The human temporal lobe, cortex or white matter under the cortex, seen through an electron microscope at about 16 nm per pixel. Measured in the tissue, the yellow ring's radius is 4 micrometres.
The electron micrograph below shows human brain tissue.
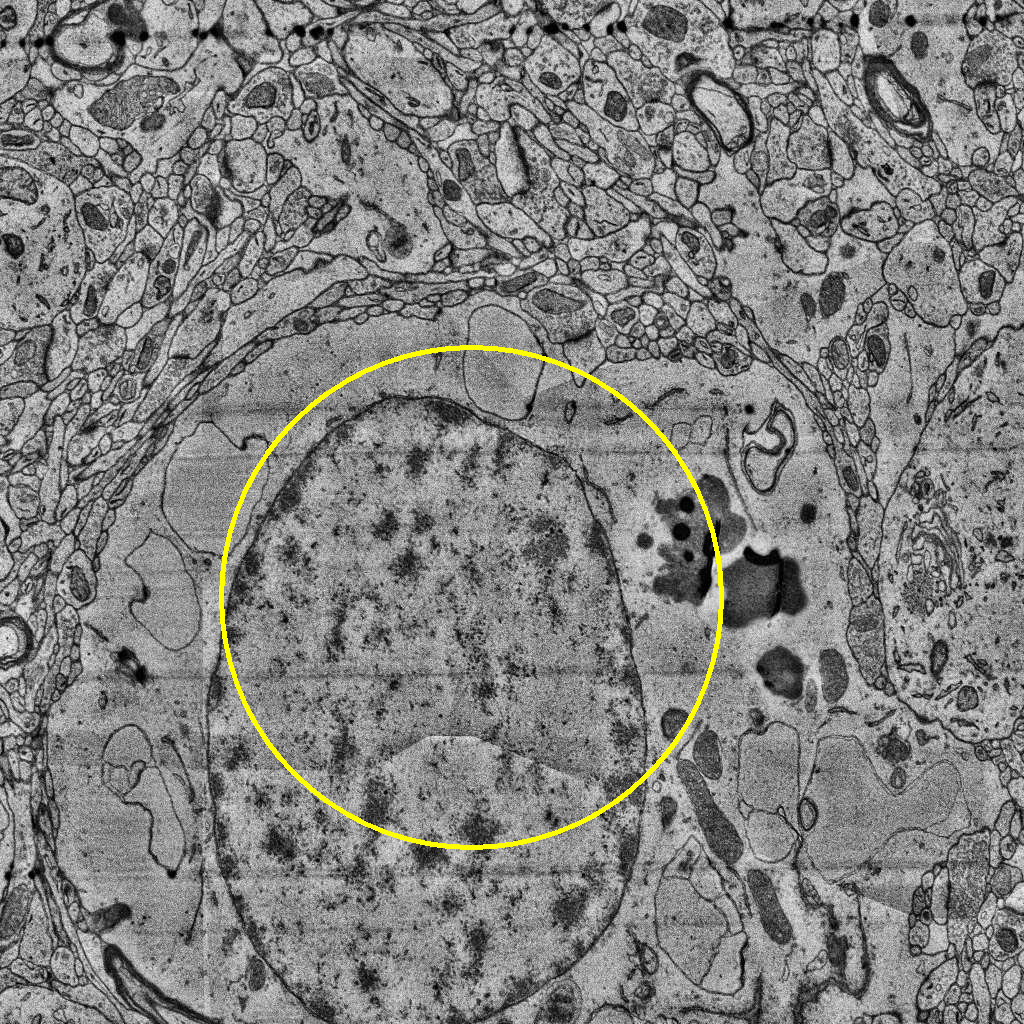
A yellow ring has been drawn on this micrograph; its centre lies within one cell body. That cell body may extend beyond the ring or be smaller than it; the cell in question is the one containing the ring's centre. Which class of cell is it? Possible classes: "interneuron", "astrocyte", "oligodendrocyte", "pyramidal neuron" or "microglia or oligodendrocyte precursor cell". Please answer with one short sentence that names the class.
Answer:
In the centre of the ring sits an astrocyte.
